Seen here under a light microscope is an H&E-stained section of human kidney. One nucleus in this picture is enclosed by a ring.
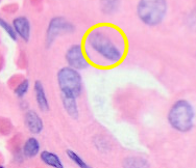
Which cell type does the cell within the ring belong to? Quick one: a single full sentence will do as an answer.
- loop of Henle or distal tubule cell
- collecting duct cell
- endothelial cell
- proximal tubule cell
In the stained section, the cell within the ring is a collecting duct cell.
